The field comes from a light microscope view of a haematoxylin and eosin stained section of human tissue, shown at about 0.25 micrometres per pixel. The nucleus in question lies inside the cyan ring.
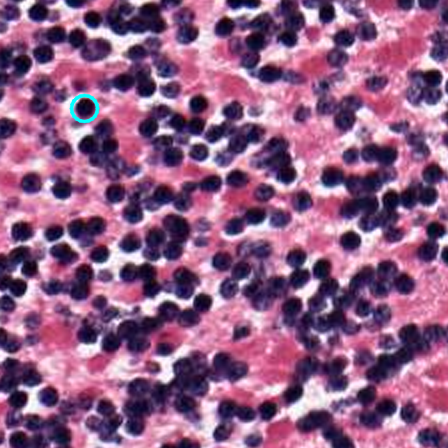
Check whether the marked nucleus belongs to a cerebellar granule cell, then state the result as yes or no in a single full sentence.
Yes, the nucleus that has been marked is that of a cerebellar granule cell.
